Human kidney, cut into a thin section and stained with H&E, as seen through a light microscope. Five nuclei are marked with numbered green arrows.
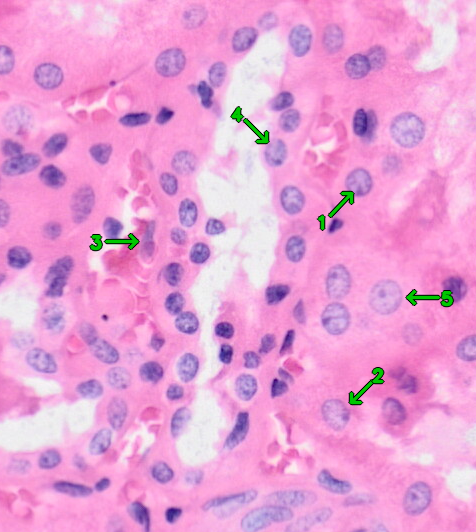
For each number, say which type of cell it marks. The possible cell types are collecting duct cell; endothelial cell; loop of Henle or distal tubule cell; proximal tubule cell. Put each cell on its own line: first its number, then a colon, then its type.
1: proximal tubule cell
2: proximal tubule cell
3: endothelial cell
4: collecting duct cell
5: proximal tubule cell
